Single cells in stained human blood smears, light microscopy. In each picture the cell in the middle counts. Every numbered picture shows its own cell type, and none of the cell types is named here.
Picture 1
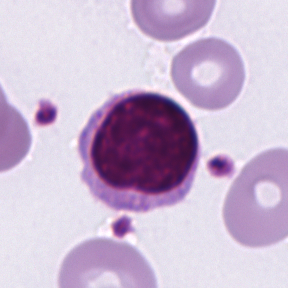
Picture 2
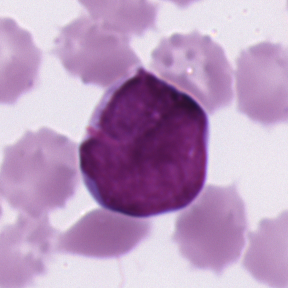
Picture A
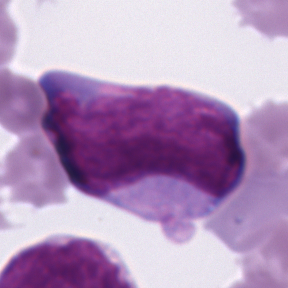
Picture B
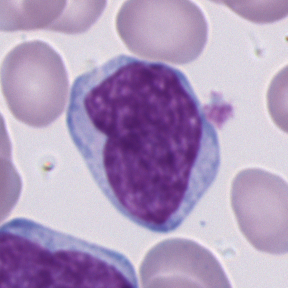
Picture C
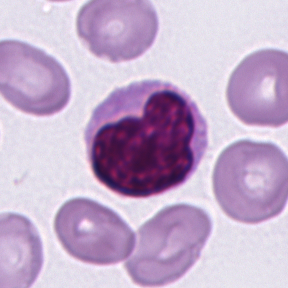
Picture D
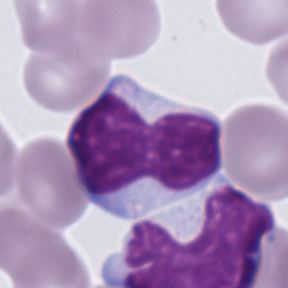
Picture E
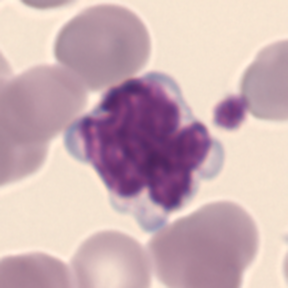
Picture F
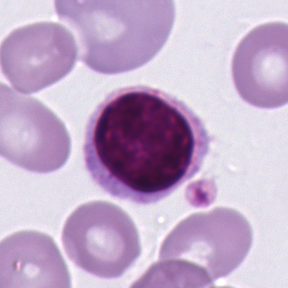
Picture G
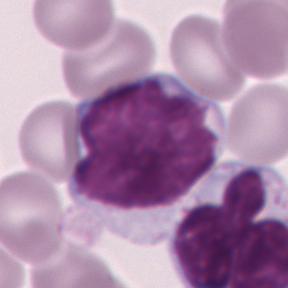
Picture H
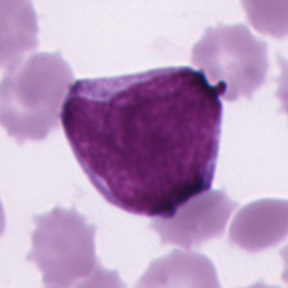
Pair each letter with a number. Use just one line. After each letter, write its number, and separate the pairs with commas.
A 2, B 2, C 1, D 1, E 1, F 1, G 1, H 2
